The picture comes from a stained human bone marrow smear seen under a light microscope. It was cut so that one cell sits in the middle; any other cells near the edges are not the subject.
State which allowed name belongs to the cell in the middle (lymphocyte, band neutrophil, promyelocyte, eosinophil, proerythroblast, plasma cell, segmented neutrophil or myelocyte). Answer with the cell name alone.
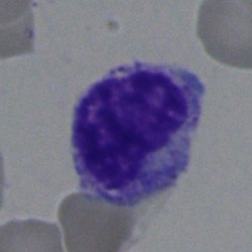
myelocyte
